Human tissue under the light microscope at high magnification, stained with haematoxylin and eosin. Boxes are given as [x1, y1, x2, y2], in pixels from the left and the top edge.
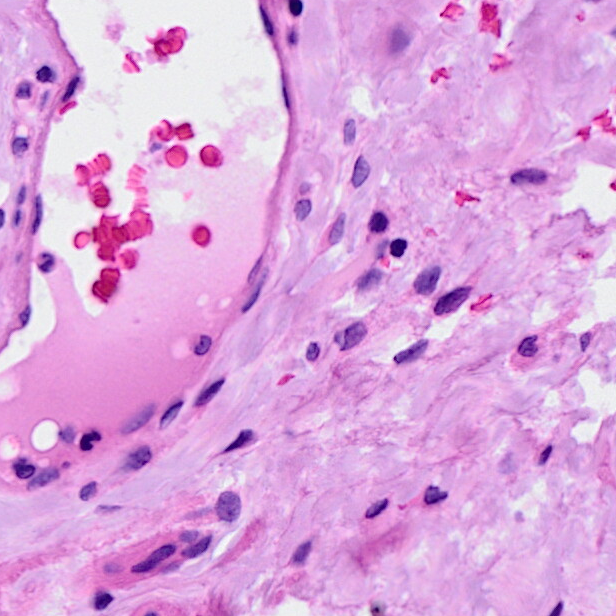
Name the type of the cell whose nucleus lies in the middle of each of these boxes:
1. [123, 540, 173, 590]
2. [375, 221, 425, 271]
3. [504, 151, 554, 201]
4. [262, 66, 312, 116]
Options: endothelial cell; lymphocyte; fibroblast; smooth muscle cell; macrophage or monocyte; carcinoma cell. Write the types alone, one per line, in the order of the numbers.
smooth muscle cell
lymphocyte
fibroblast
endothelial cell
